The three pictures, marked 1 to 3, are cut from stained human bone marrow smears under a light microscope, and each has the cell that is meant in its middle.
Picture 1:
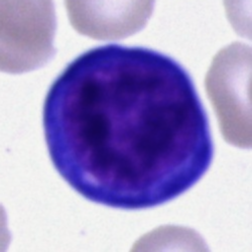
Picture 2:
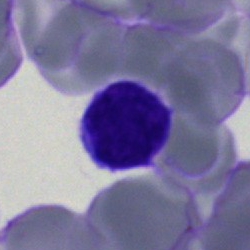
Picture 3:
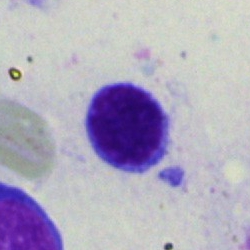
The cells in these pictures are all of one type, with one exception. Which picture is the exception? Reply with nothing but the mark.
1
